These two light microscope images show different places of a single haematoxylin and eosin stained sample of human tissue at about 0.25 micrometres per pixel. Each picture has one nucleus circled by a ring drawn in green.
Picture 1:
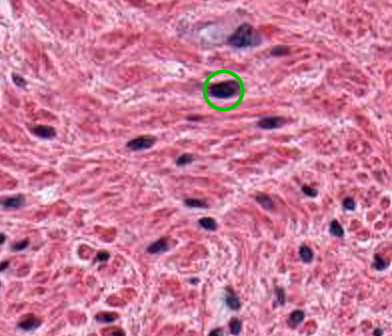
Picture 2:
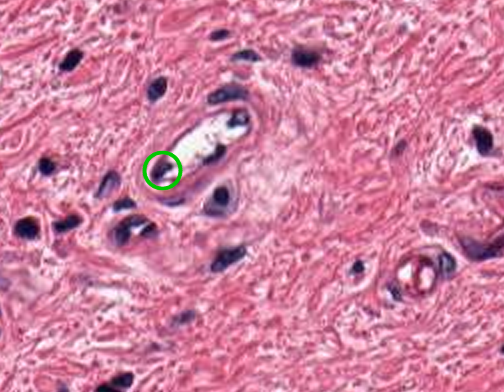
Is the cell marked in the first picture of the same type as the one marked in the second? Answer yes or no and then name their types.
No, the first is a smooth muscle cell and the second an endothelial cell.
